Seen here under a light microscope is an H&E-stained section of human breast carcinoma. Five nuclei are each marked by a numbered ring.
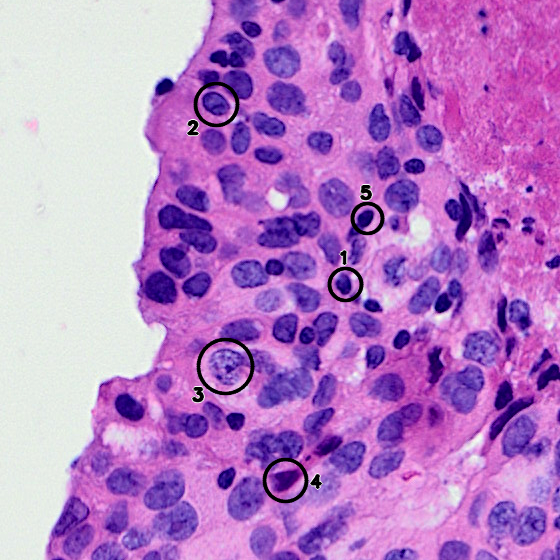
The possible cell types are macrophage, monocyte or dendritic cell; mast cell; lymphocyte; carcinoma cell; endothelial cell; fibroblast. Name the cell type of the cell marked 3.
carcinoma cell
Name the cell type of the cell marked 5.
lymphocyte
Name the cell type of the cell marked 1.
lymphocyte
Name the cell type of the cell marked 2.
carcinoma cell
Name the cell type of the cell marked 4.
carcinoma cell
